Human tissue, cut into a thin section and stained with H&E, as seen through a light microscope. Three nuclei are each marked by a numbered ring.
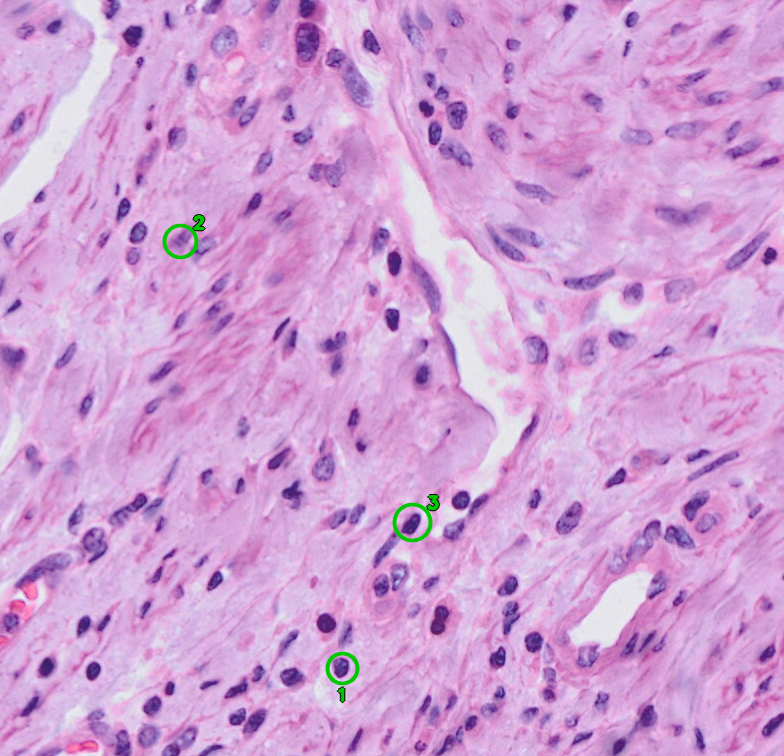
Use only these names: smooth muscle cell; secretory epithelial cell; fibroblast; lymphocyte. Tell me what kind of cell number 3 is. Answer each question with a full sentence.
The expected answer is that cell 3 is a lymphocyte.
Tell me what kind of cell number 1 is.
The cell indicated with the number 1 is classed as a lymphocyte.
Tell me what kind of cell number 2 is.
Identified by the number 2, the cell is a smooth muscle cell.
